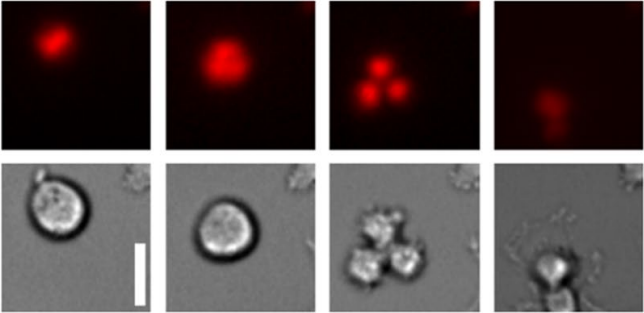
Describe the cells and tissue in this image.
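This is a time series of a single cultured cell undergoing an abnormal division. At first a large round cell with a dark rim carries one diffuse red fluorescent body. The cell stays round and the red body becomes larger and brighter. It then gives rise to three small rounded cells in a cluster, each with its own red spot.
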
